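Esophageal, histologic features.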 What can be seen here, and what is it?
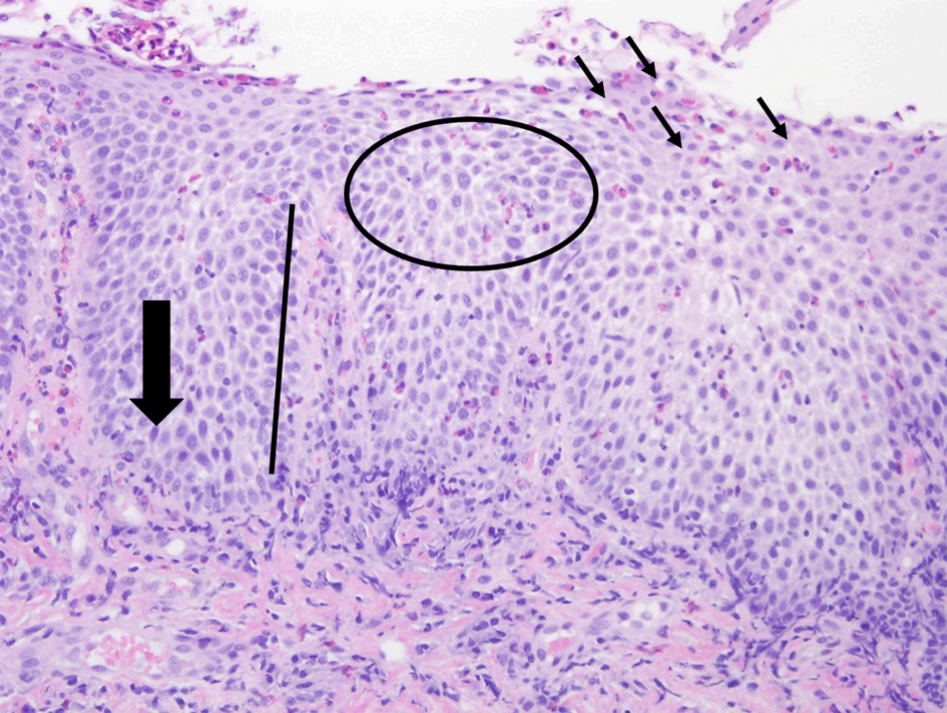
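This is stratified squamous epithelium of the esophagus with loose pink connective tissue underneath. The lower part of the epithelium is thickened by many crowded cells with dark nuclei, and pink connective tissue papillae reach far up toward the surface. Cells with bright red-pink cytoplasm are scattered within the epithelium, more of them near the surface, and in places pale gaps are seen between neighbouring epithelial cells.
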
